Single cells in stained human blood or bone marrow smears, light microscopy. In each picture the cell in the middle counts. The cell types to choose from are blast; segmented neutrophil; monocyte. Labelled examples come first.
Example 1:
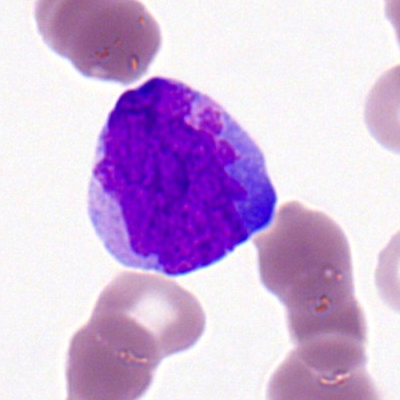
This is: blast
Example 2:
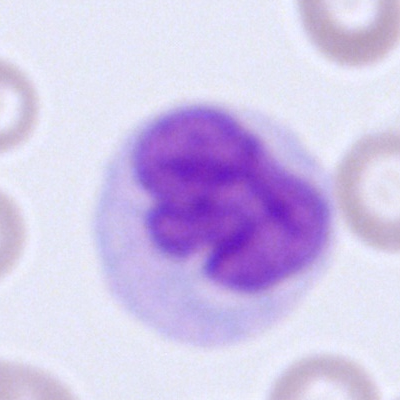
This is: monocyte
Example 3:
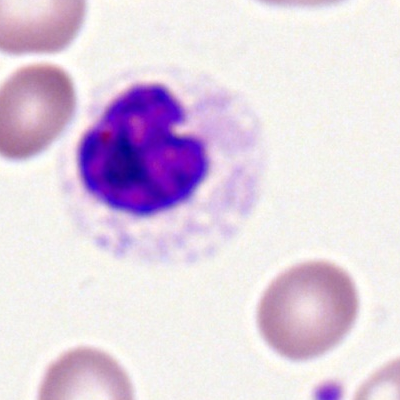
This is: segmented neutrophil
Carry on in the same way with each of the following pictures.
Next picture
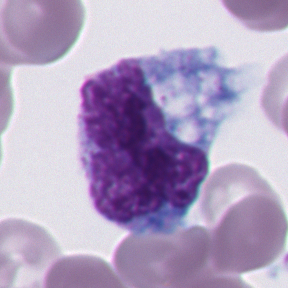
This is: monocyte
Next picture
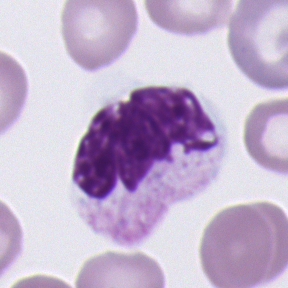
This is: segmented neutrophil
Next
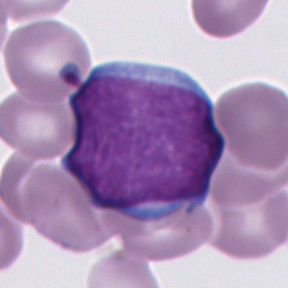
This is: blast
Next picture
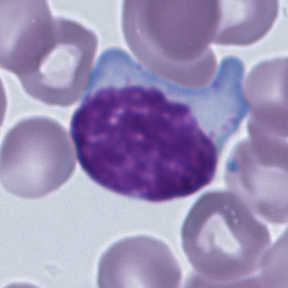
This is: blast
